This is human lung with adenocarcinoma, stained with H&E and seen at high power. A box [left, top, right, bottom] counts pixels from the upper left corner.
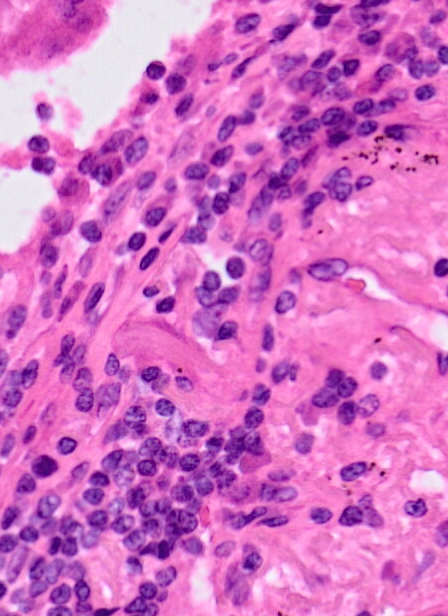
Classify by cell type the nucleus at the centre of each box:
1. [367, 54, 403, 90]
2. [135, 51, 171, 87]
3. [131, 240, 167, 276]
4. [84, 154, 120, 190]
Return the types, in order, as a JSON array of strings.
["lymphocyte", "lymphocyte", "lymphocyte", "plasma cell"]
